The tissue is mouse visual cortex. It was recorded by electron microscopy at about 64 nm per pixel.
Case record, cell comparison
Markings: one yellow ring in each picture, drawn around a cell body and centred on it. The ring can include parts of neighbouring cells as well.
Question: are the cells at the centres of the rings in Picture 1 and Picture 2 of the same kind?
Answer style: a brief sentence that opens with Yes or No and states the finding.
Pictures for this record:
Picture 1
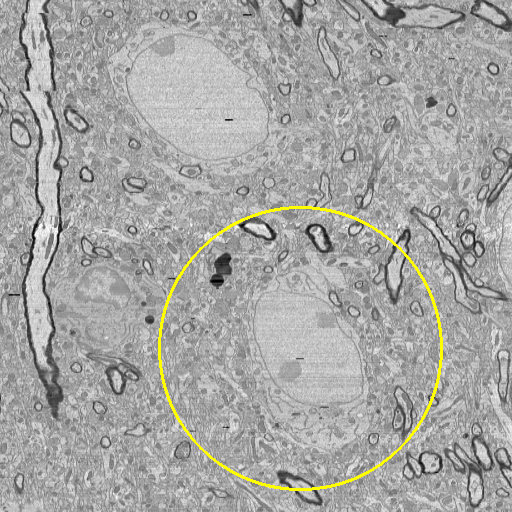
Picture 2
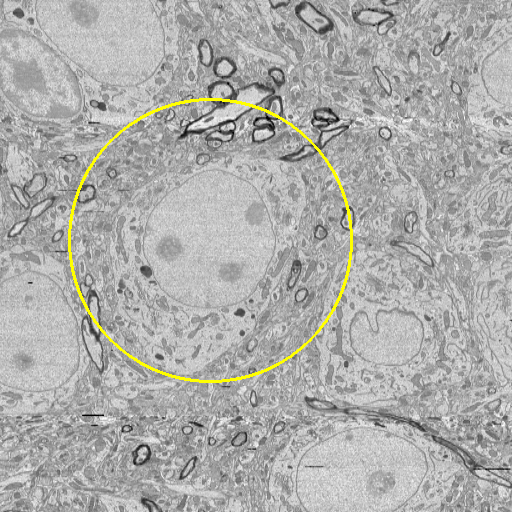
Yes, the cells in Picture 1 and Picture 2 are of the same kind.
